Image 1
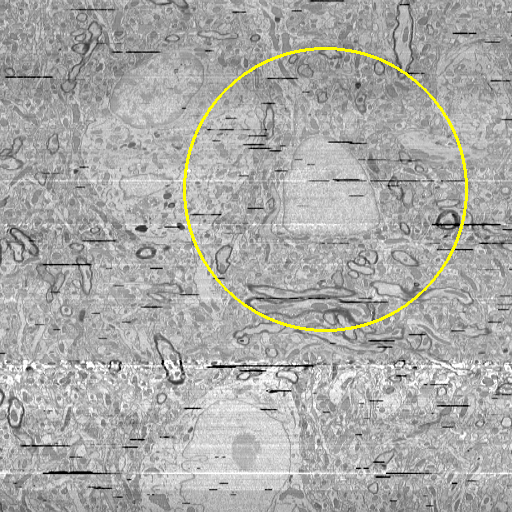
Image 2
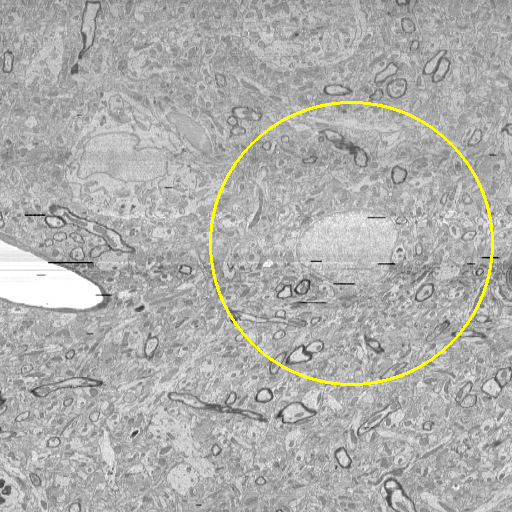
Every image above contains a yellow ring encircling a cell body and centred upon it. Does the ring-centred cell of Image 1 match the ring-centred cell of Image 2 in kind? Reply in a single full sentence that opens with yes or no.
Yes, the cell at the ring's centre in Image 1 is the same kind as that in Image 2.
